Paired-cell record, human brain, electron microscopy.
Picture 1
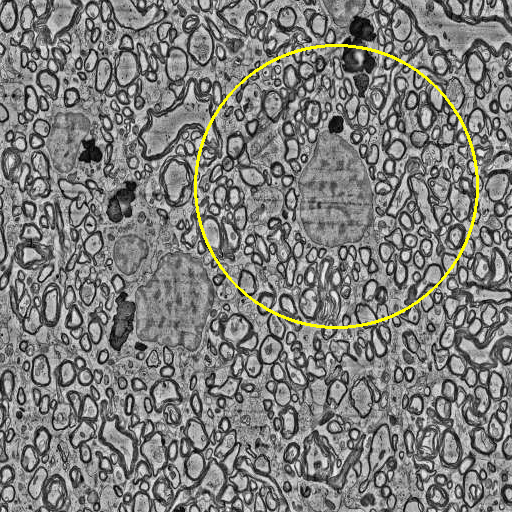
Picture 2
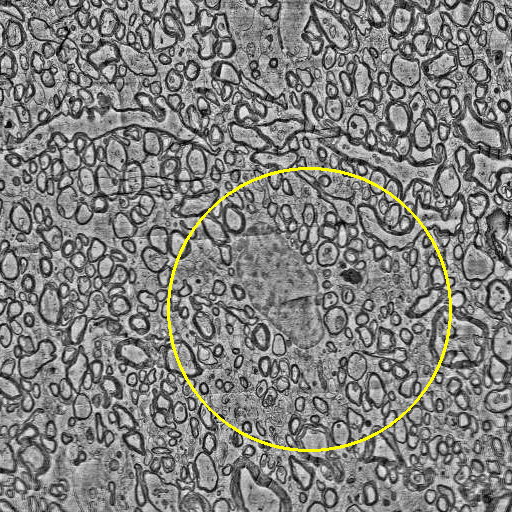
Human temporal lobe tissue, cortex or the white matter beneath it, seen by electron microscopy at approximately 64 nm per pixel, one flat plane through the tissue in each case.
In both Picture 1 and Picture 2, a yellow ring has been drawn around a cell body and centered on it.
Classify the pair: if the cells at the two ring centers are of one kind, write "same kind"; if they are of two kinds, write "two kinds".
same kind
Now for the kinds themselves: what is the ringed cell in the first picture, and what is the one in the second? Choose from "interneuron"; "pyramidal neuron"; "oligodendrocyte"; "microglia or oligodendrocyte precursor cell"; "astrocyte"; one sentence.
The first and the second cell are each an oligodendrocyte.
